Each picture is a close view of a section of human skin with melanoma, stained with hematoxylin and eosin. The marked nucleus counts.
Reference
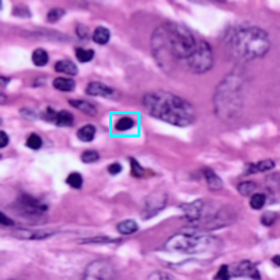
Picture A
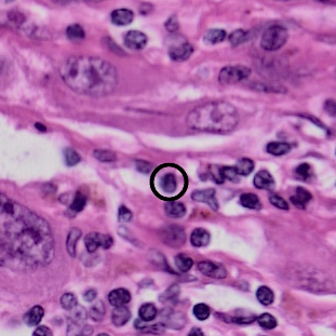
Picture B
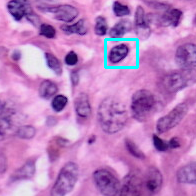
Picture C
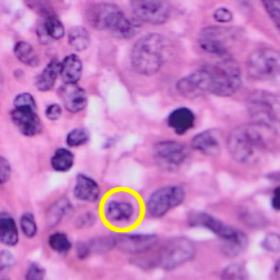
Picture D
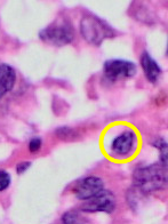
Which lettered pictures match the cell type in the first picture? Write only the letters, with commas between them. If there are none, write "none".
A, B, C, D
